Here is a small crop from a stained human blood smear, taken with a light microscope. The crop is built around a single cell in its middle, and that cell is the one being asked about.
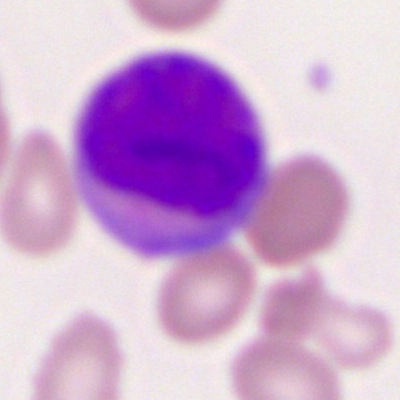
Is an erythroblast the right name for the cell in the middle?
no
